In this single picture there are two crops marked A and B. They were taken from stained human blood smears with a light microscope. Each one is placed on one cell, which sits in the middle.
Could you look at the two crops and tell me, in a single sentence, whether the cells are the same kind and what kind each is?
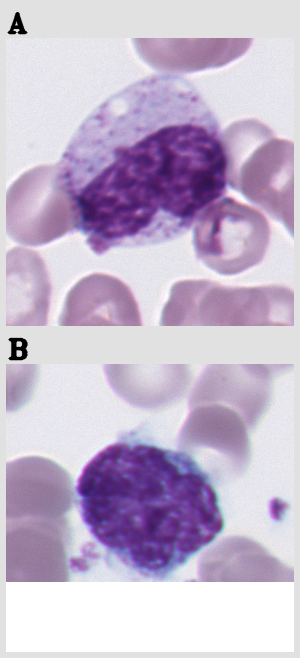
No, crop A shows a metamyelocyte, and crop B, by contrast, shows a monocyte.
